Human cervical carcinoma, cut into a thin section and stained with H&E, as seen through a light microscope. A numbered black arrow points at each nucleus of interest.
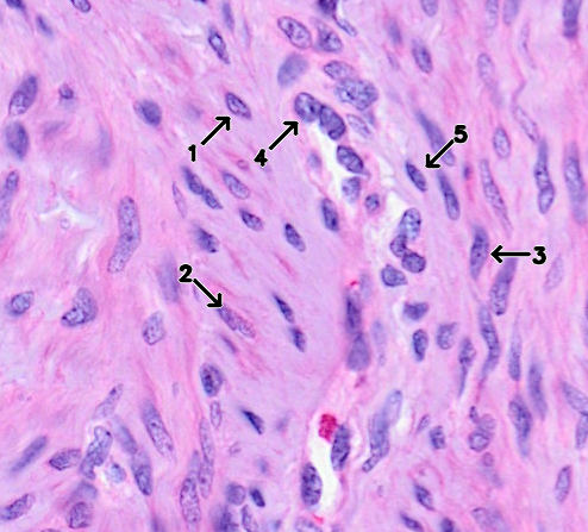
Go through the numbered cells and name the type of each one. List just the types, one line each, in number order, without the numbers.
smooth muscle cell
smooth muscle cell
smooth muscle cell
endothelial cell
fibroblast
